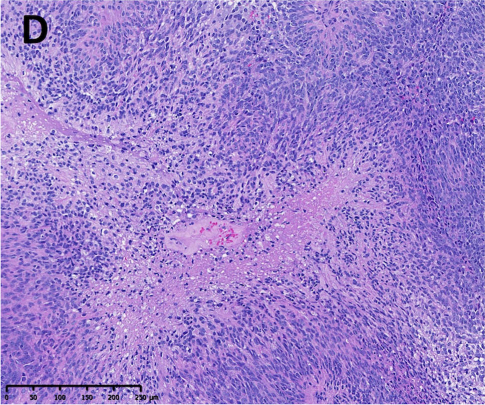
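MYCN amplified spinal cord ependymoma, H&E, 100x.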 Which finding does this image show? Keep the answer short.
Focal necrosis.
